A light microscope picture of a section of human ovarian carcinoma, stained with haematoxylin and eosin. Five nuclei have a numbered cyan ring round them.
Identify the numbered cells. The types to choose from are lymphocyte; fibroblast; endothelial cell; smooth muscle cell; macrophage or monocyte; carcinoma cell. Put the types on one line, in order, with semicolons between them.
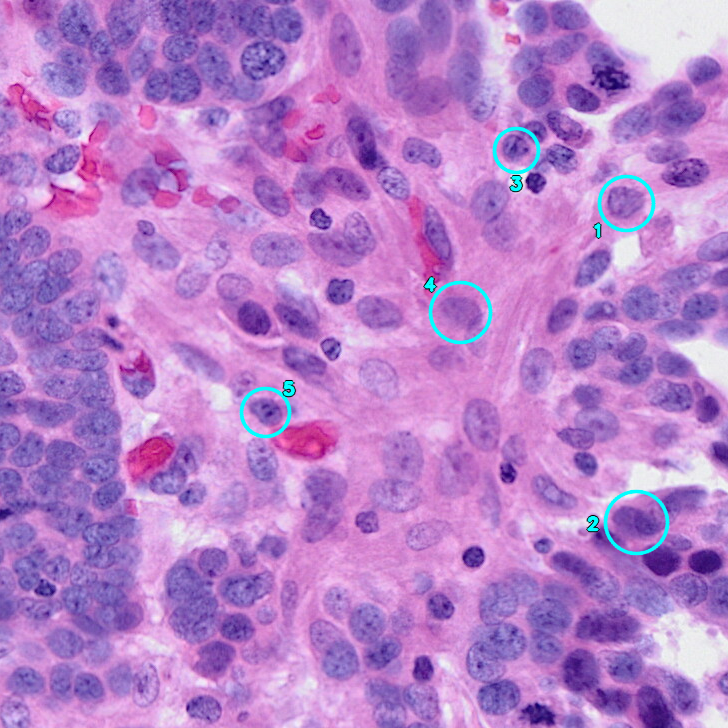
fibroblast; carcinoma cell; macrophage or monocyte; fibroblast; macrophage or monocyte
